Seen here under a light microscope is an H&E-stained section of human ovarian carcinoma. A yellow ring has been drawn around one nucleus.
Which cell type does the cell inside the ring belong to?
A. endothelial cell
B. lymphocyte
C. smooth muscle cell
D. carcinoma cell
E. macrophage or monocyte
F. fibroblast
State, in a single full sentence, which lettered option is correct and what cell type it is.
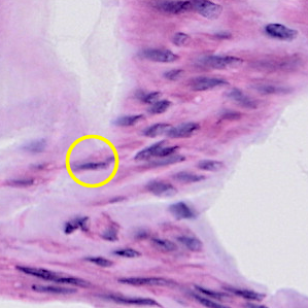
Option C matches the cell inside the ring, which is a smooth muscle cell.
